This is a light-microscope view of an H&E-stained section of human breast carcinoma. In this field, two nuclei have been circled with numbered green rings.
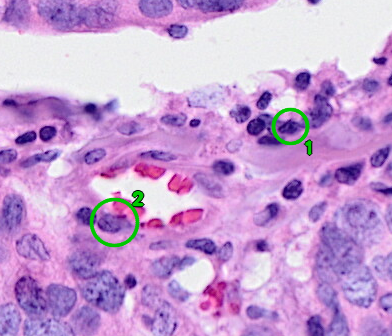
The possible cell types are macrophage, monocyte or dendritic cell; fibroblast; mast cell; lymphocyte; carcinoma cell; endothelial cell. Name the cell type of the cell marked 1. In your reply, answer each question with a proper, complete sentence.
The cell that goes by number 1 is a lymphocyte.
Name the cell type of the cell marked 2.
The numbered cell 2 in this field is an endothelial cell.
